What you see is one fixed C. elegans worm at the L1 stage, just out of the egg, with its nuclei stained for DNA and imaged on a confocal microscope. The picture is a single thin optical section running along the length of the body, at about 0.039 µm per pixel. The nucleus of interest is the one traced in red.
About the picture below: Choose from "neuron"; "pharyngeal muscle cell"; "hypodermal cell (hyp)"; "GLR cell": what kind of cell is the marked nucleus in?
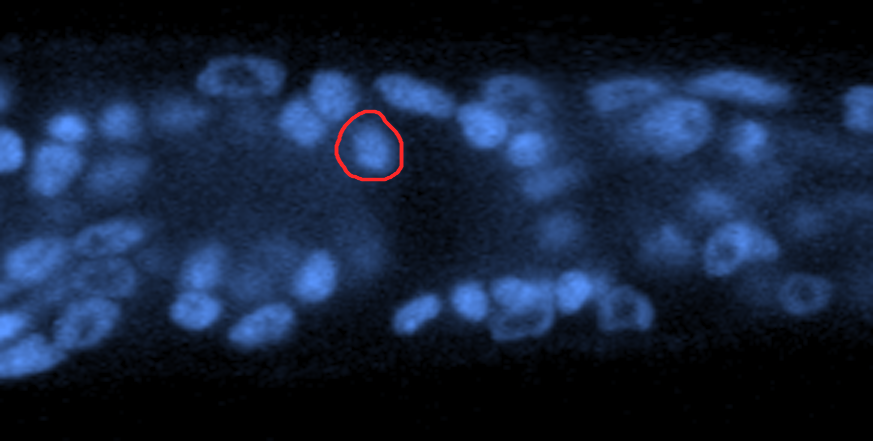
GLR cell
